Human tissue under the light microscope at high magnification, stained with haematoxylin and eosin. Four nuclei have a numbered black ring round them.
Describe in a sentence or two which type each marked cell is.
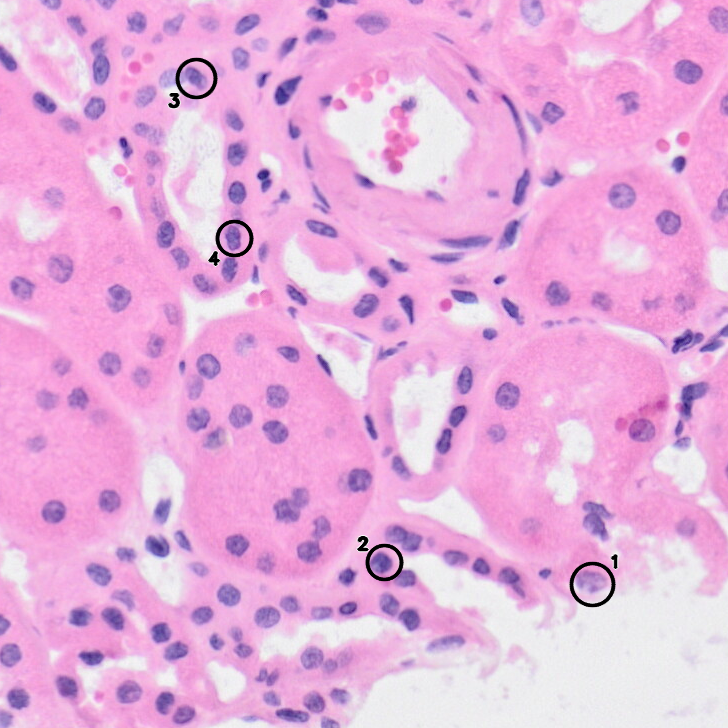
Cell 1 is a proximal tubule cell. Cells 2, 3 and 4 are collecting duct cells.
